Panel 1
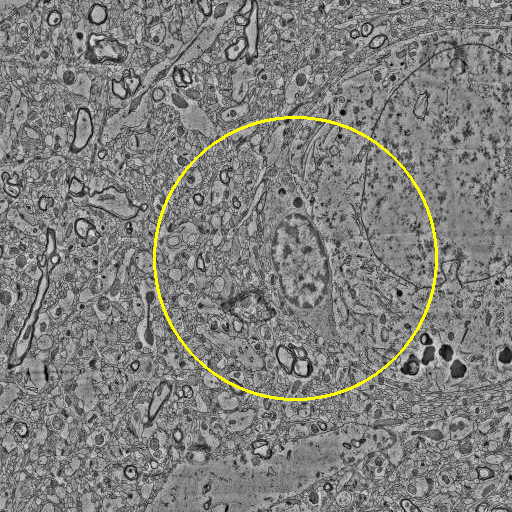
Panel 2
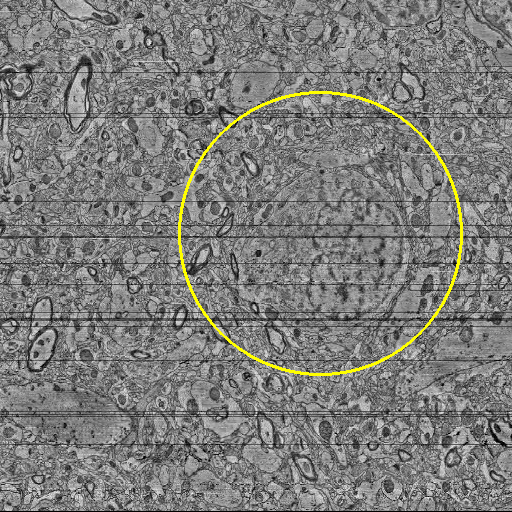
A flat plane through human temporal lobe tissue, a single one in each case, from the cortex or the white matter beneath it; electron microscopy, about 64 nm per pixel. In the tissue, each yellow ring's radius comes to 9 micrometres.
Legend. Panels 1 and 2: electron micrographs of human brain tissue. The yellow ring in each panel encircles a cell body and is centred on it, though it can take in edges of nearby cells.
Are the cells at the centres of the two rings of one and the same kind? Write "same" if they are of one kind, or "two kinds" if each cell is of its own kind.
two kinds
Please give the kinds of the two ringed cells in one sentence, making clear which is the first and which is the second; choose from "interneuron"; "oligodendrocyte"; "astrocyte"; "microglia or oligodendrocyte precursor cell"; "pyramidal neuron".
In the second picture the ringed cell is an interneuron; in the first it is an oligodendrocyte.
